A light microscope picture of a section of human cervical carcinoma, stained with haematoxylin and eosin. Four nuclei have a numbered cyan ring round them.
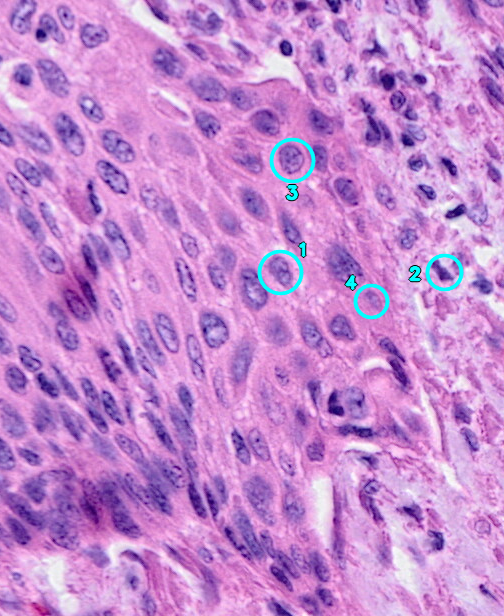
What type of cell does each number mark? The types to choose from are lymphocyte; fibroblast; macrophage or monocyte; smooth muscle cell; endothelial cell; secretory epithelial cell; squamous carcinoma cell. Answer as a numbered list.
1. squamous carcinoma cell
2. fibroblast
3. squamous carcinoma cell
4. squamous carcinoma cell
